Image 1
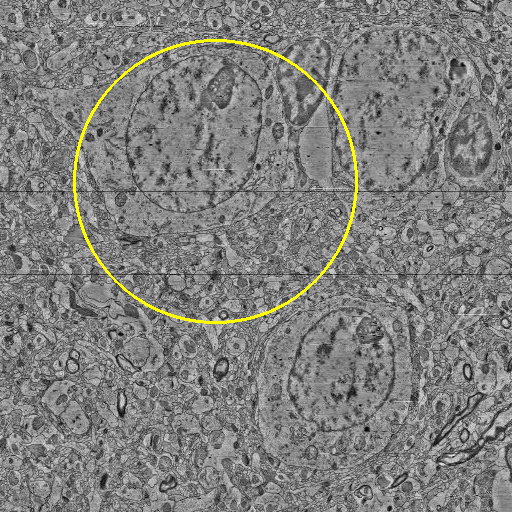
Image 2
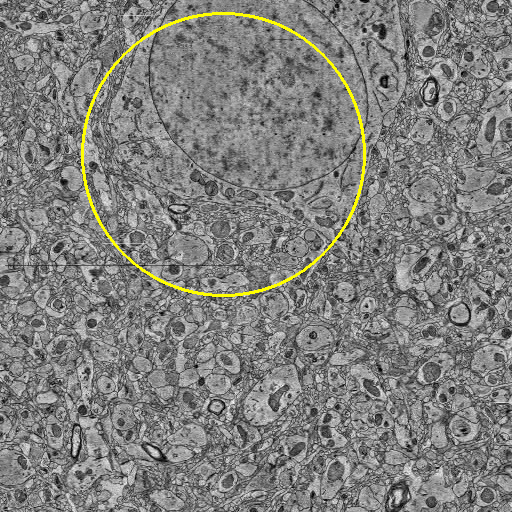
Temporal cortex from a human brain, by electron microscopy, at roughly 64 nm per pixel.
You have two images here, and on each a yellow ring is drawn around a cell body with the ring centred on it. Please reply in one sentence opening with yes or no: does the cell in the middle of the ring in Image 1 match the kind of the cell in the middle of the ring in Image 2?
Yes, the two images show cells of one kind at the centres of their rings.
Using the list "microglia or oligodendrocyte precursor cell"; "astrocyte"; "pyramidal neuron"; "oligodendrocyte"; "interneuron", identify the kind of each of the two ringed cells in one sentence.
Both rings mark a pyramidal neuron, one in each picture.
